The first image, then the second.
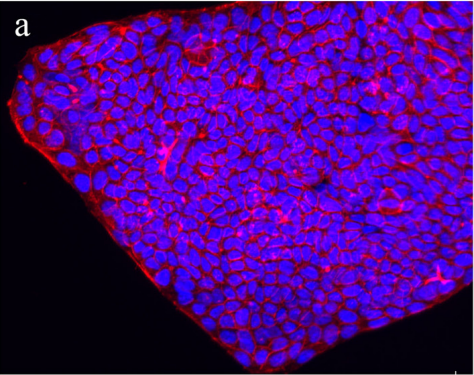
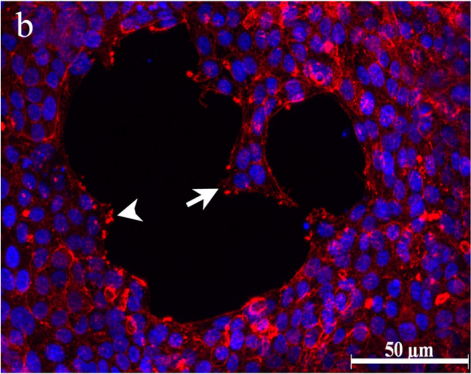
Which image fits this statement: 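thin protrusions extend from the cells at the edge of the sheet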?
the second image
